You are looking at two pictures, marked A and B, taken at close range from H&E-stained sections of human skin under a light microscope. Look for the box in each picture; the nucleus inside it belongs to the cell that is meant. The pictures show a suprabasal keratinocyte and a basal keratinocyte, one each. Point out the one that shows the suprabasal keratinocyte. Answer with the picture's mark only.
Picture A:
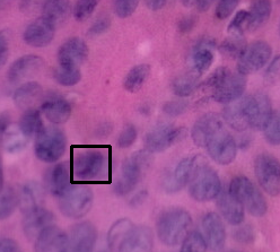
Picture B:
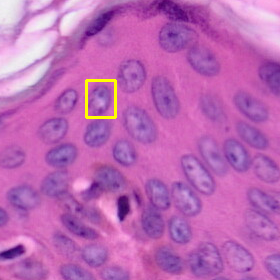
B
